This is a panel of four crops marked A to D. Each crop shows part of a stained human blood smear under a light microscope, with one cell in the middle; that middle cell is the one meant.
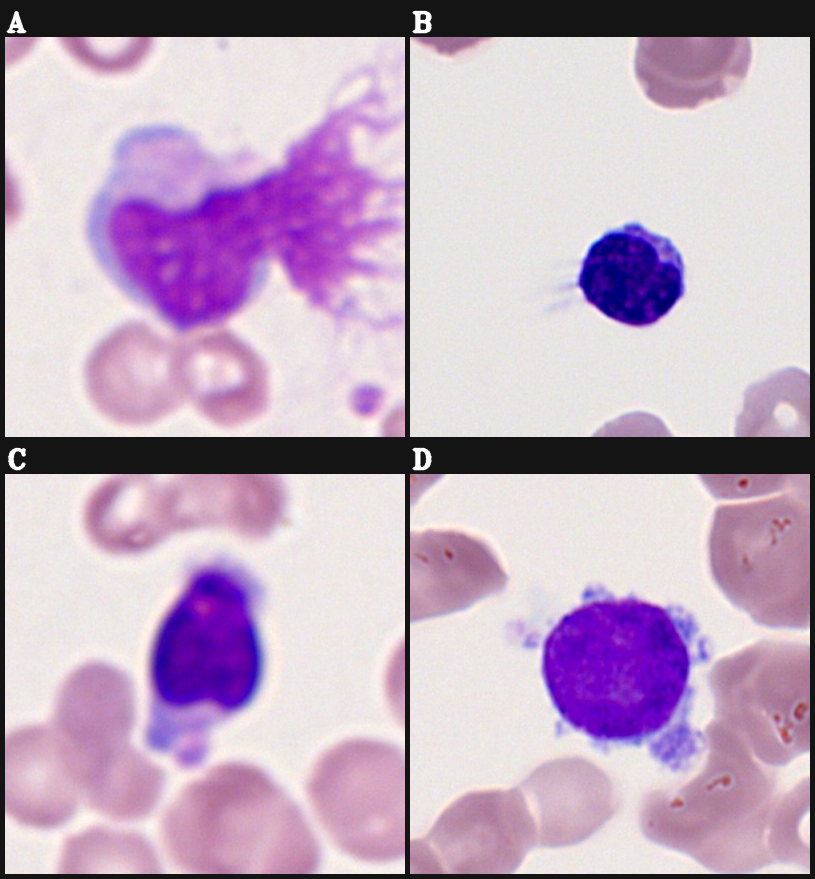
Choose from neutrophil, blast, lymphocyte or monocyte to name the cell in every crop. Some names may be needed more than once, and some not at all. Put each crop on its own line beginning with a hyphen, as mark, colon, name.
- A: monocyte
- B: lymphocyte
- C: lymphocyte
- D: lymphocyte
